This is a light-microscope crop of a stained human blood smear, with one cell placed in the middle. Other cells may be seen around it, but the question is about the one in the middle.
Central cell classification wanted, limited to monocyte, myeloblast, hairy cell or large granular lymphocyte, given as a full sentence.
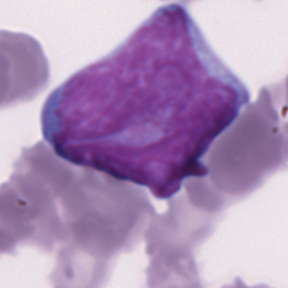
The central cell, amid any neighbouring cells, is a myeloblast.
